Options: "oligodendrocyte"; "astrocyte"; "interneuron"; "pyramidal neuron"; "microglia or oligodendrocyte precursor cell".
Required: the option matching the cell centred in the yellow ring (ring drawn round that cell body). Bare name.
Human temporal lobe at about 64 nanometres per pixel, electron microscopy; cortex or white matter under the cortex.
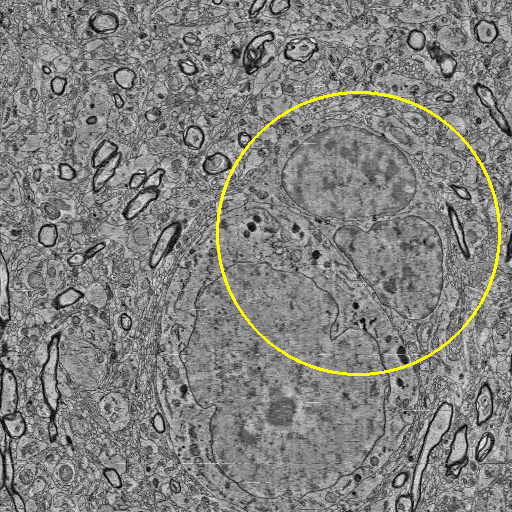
microglia or oligodendrocyte precursor cell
